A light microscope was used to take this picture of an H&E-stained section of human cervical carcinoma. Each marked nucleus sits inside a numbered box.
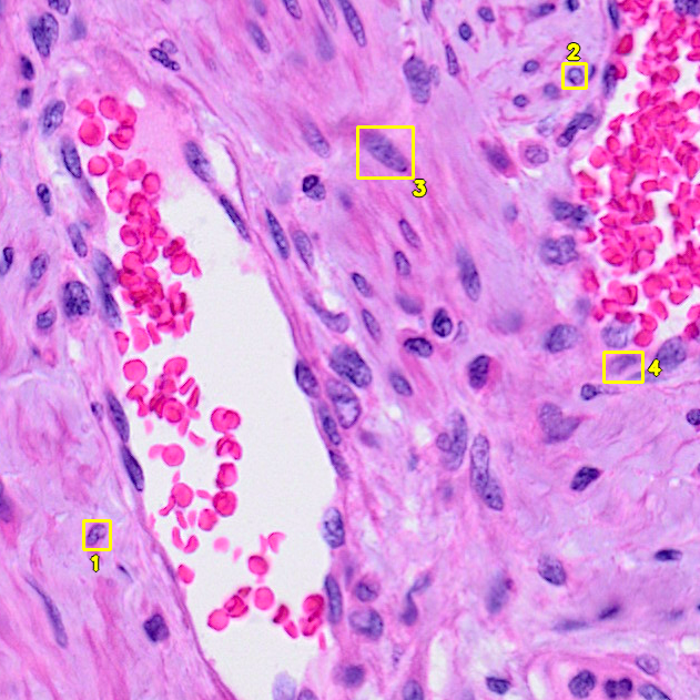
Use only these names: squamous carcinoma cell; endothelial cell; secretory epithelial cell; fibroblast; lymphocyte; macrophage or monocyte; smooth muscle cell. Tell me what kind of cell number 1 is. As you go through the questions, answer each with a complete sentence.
Identified as a smooth muscle cell is the cell bearing the number 1.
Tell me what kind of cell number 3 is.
Of the numbered cells, the one labelled 3 is a smooth muscle cell.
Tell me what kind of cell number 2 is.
The marked cell bearing number 2 is a smooth muscle cell.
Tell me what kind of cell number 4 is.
The cell pointed out by number 4 is an endothelial cell.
